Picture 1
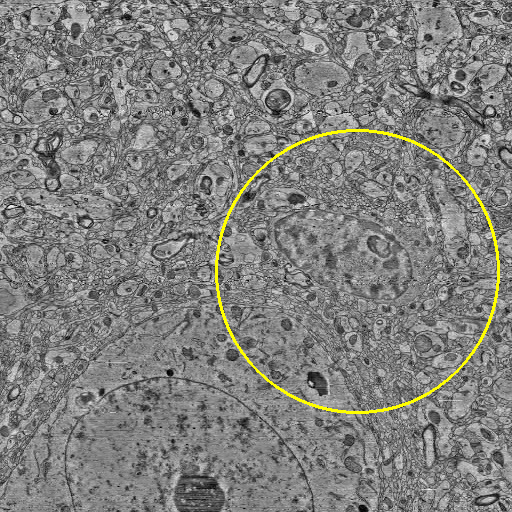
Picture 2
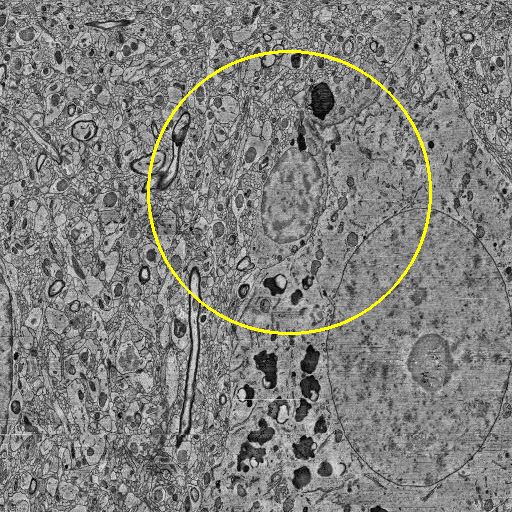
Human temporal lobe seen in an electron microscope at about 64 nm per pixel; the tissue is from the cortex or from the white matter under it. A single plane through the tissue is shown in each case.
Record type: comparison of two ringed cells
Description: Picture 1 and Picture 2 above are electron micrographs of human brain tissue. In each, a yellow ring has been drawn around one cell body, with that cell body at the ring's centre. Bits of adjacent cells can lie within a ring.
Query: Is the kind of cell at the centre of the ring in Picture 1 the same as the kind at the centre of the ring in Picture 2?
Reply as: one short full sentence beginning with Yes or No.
Yes, the two ringed cells are of the same kind.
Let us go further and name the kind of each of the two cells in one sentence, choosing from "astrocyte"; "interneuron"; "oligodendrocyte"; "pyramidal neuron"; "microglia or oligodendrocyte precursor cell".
Each cell, in the first picture and the second, is an oligodendrocyte.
